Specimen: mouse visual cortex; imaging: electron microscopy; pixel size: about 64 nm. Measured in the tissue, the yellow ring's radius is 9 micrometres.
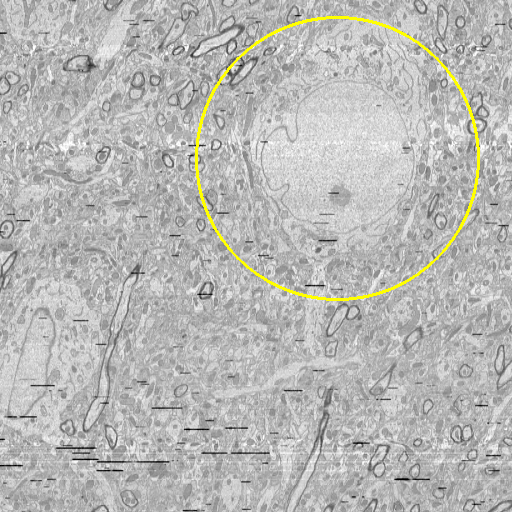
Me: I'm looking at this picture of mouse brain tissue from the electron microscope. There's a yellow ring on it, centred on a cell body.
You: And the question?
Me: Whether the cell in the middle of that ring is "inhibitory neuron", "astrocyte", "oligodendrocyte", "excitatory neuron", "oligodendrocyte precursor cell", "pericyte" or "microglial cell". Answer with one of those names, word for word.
excitatory neuron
